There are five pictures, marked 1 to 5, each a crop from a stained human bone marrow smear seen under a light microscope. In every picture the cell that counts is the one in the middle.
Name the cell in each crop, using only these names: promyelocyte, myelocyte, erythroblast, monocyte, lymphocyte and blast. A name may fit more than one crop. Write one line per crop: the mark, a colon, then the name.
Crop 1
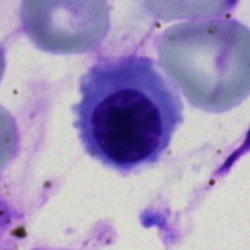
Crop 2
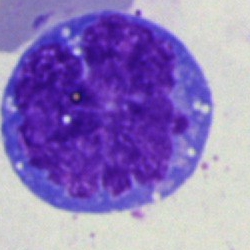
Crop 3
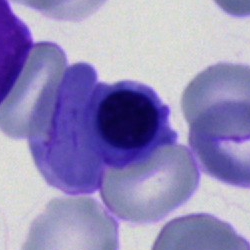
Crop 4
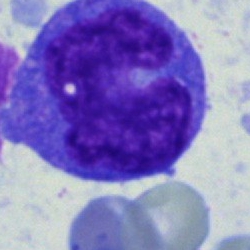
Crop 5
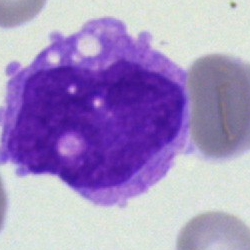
1: erythroblast
2: monocyte
3: erythroblast
4: monocyte
5: monocyte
